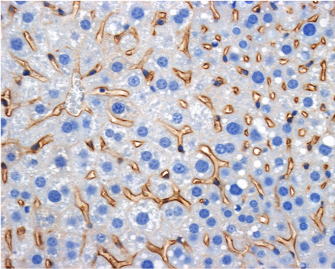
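This is liver tissue in which brown staining marks the endothelial cells lining the sinusoids. The stained lining forms short, branching brown strands and rings between cords of large hepatocytes. Hepatocytes have pale cytoplasm and round blue nuclei and stay unstained. A larger vessel with a brown-outlined lumen is seen near the left of the field. Small clear vacuoles appear within some hepatocytes.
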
